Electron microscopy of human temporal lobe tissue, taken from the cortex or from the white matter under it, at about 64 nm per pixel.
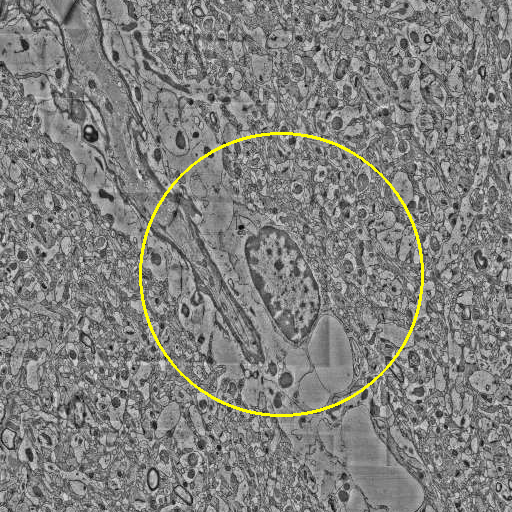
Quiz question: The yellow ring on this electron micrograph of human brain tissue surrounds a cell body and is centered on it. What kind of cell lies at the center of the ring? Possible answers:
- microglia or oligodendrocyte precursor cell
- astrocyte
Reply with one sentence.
The ring's center lies on a microglial cell or oligodendrocyte precursor cell.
